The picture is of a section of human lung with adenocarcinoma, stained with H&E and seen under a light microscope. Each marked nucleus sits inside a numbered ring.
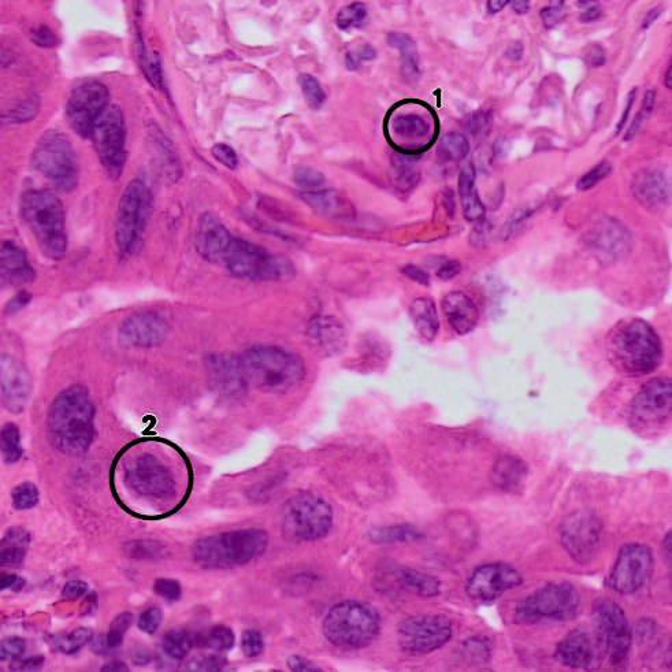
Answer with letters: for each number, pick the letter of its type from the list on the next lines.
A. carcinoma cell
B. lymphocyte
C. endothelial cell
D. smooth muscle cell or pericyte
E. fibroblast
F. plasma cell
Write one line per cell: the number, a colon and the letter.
1: F
2: A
